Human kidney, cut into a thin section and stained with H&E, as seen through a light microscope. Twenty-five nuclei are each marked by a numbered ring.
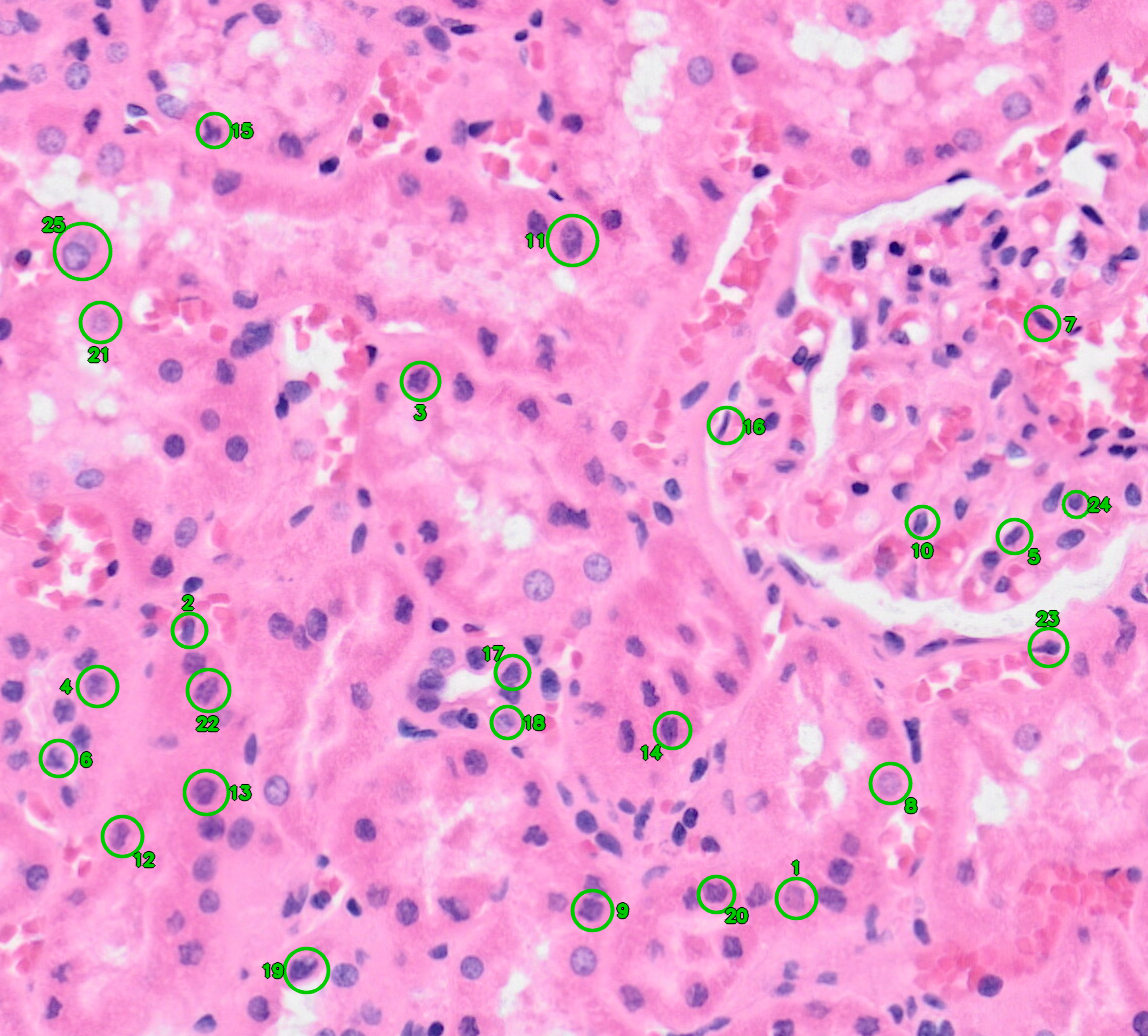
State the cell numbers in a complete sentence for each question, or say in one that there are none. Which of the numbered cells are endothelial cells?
The cells picked out by numbers 2, 5, 7, 10, 16, 23 and 24 are endothelial cells.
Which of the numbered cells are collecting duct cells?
The cells to which the numbers 17 and 18 refer are collecting duct cells.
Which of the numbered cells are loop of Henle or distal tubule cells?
The cells with numbers 4, 6 and 19 are loop of Henle or distal tubule cells by type.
